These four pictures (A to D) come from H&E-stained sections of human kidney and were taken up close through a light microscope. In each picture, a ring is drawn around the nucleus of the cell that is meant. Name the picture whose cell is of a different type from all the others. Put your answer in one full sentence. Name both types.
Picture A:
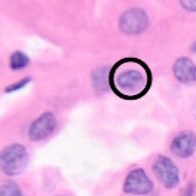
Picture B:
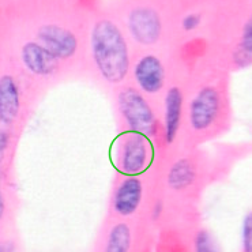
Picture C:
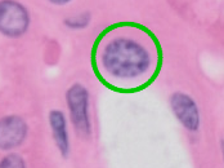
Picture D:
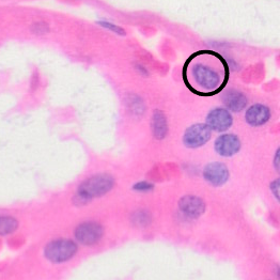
Picture A differs, because its cell is a “loop of Henle or distal tubule cell” and the rest are collecting duct cells.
